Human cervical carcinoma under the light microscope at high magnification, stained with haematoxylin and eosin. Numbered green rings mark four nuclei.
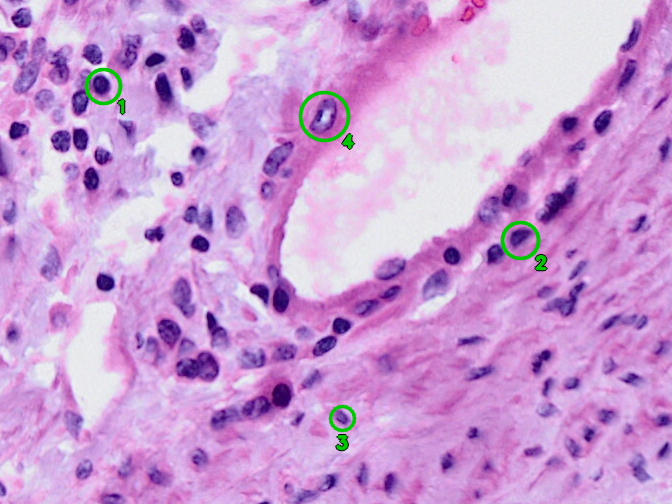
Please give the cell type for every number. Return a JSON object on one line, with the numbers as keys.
{"1": "lymphocyte", "2": "lymphocyte", "3": "smooth muscle cell", "4": "endothelial cell"}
